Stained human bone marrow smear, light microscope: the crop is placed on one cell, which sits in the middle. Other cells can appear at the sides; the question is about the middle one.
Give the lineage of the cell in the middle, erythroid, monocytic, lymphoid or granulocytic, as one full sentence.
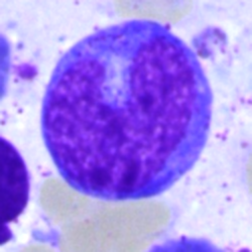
The central cell in this crop should be counted within the monocytic lineage.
